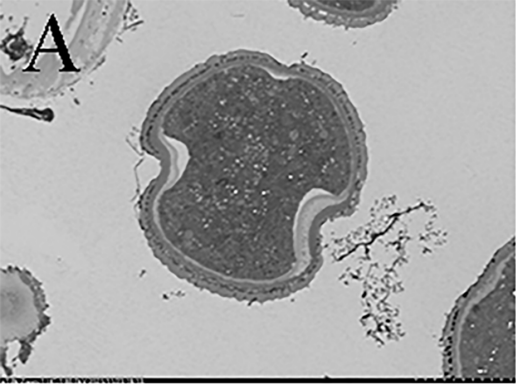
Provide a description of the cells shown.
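Transmission electron micrograph of a single pollen grain in section, rounded with two inward indentations. The interior is filled with dense, finely granular cytoplasm containing scattered small pale and dark inclusions. A continuous layered wall surrounds the grain, with a dark outer layer and a paler inner layer. At the indentations the pale inner wall layer is markedly thickened. Parts of neighbouring grains lie at the corners of the field.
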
